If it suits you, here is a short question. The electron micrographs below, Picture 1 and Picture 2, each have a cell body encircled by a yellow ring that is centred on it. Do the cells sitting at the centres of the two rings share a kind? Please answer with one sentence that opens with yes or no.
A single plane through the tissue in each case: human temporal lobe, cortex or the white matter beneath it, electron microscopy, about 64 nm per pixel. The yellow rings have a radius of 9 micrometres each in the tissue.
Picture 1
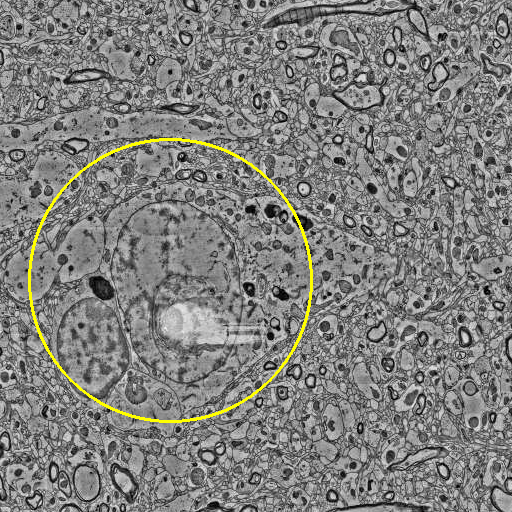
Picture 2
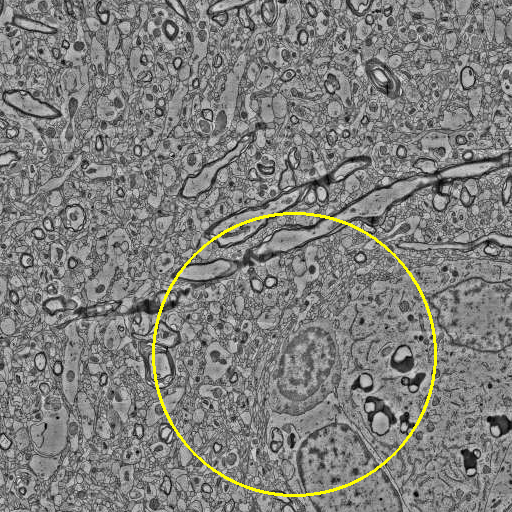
No, the two cells sitting at the ring centres fall into two kinds.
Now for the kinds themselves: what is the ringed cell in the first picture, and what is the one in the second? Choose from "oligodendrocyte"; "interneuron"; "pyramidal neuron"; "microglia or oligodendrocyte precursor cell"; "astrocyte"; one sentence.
Here the first cell is a pyramidal neuron and the second cell is an oligodendrocyte.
